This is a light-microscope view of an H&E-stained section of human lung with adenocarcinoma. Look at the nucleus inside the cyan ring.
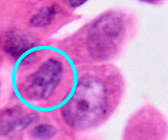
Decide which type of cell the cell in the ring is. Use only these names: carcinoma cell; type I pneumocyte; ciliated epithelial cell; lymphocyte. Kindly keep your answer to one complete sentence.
As a matter of cell type, the cell in the ring is a carcinoma cell.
